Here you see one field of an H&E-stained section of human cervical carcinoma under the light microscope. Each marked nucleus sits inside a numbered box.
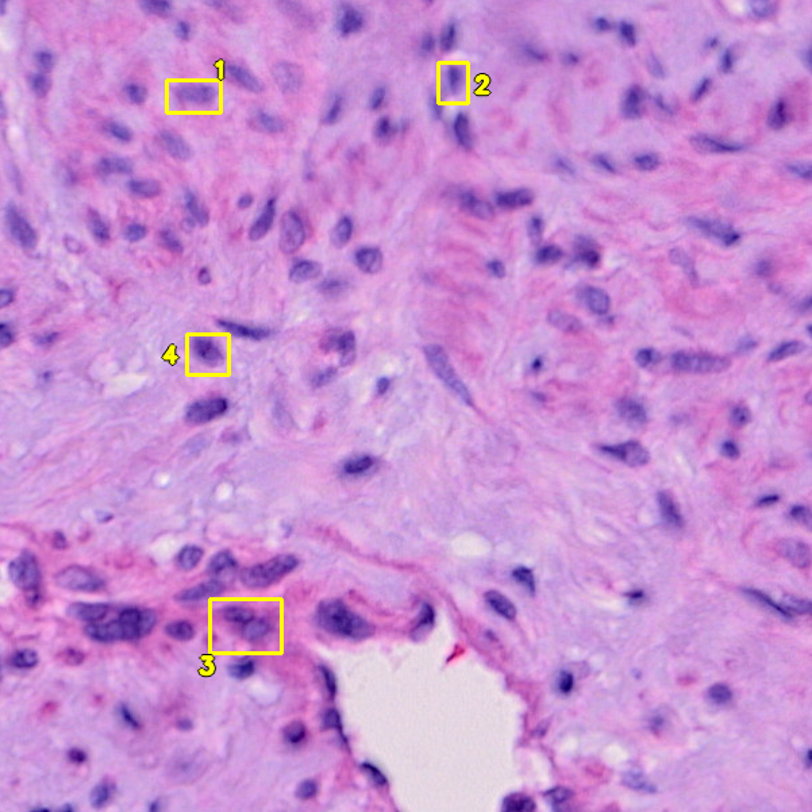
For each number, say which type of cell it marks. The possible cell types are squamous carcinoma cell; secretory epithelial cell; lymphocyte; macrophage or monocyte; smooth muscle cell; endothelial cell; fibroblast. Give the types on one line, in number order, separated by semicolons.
smooth muscle cell; fibroblast; endothelial cell; fibroblast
